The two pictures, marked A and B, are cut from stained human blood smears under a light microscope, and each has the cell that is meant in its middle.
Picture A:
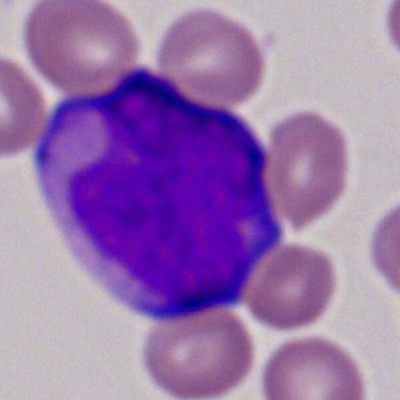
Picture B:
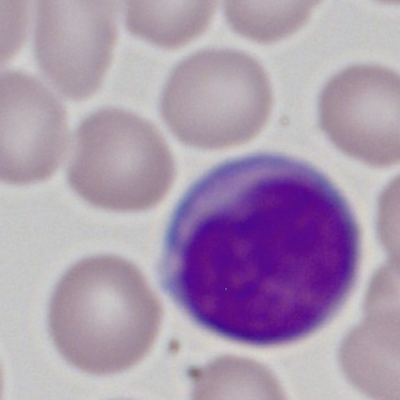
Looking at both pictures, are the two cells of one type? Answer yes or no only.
yes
